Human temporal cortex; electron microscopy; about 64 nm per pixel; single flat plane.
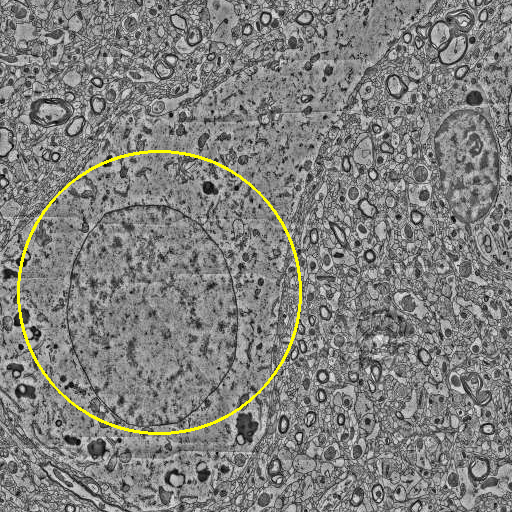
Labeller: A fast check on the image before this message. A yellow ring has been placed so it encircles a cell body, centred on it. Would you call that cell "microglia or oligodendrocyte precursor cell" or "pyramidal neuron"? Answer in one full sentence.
In this image, a pyramidal neuron is the cell on which the yellow ring is centred.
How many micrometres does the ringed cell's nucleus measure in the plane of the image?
The nucleus works out at approximately 14 by 11 micrometres in this plane.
